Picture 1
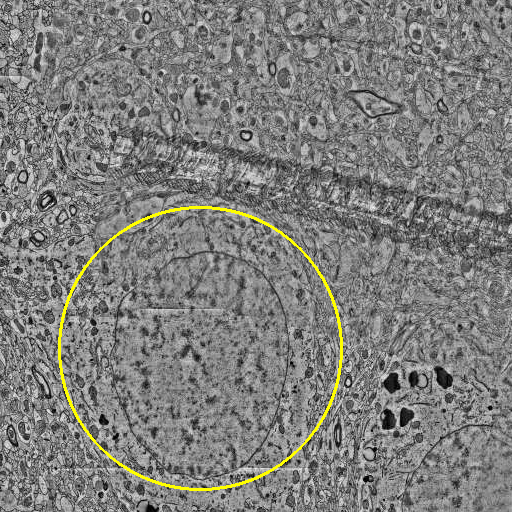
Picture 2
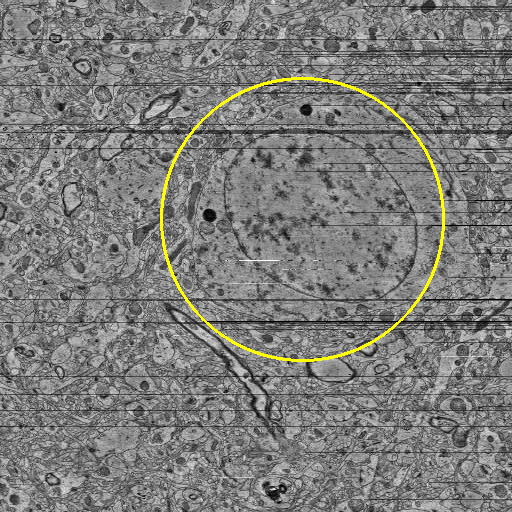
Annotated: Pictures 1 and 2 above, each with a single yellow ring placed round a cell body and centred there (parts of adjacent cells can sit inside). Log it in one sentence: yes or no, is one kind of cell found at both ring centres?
Yes, the ring centres of the two pictures hold cells of one kind.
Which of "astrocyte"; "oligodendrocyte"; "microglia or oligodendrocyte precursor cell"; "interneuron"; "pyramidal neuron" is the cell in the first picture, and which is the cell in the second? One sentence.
Each of the two rings surrounds a pyramidal neuron.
